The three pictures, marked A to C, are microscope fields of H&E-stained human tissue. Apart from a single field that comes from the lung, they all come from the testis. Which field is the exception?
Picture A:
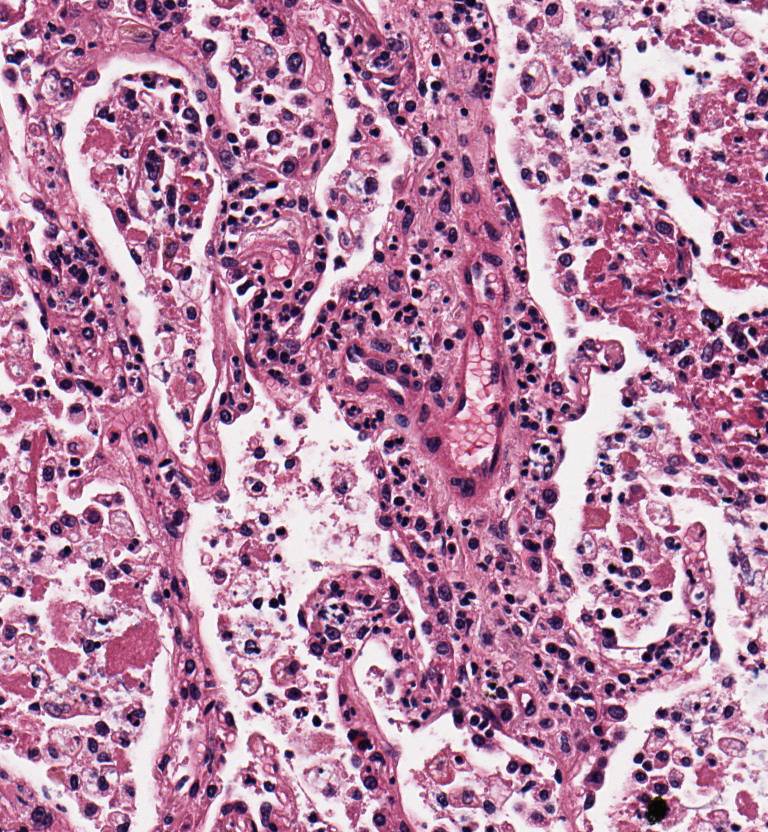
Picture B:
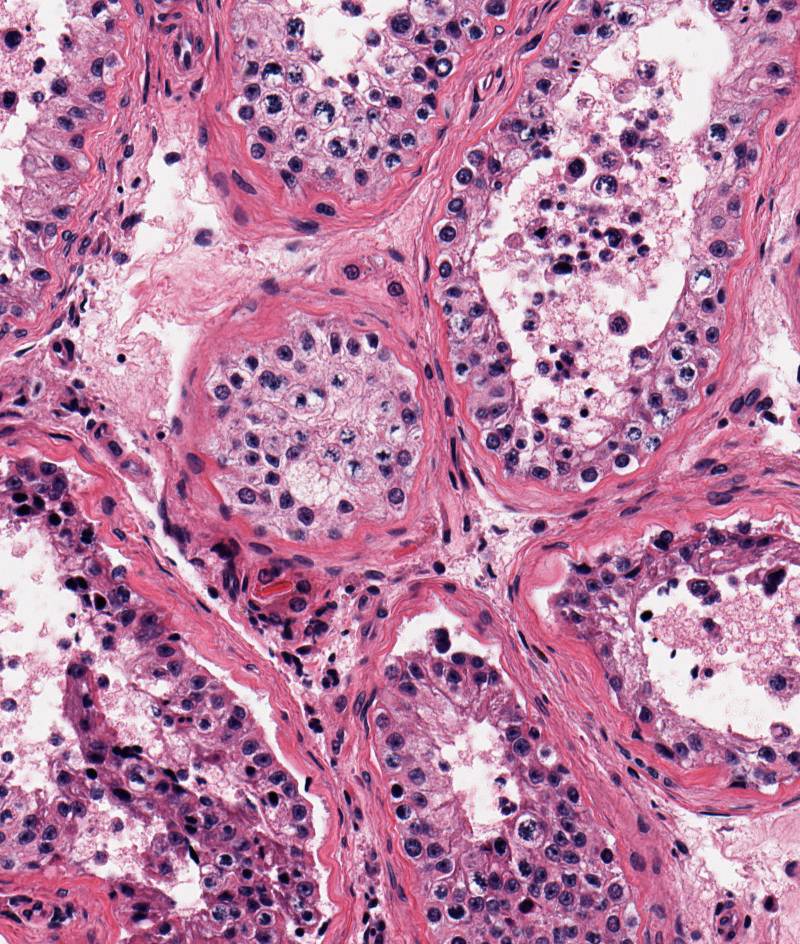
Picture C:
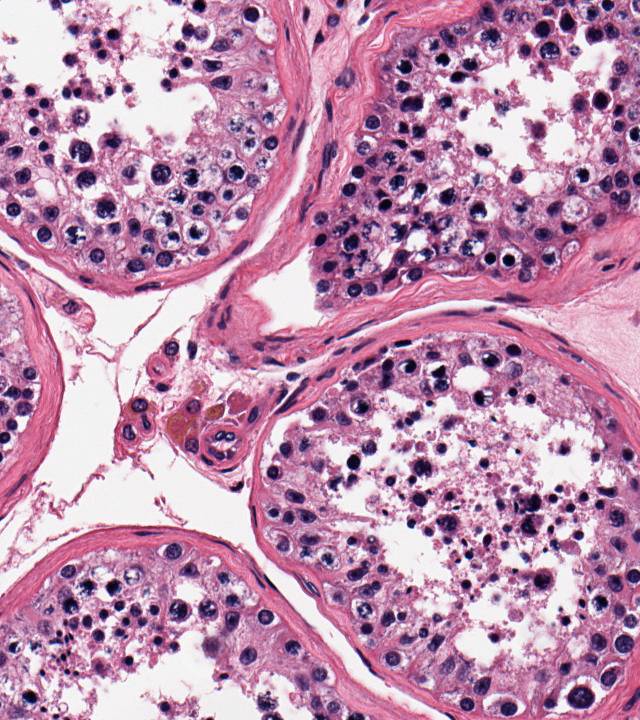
A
